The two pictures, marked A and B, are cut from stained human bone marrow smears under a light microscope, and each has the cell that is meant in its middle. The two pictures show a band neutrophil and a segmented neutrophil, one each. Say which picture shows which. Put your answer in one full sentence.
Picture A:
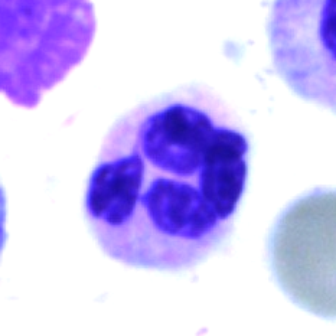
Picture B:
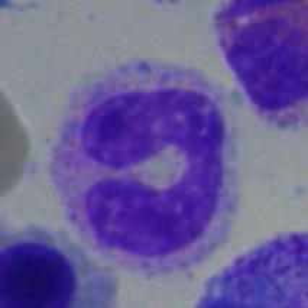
Picture A is of a segmented neutrophil, and picture B is of a band neutrophil.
